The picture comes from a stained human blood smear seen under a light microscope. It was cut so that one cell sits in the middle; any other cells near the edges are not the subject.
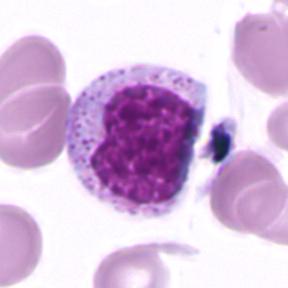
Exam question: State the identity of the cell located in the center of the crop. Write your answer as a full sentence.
The cell featured at the centre of this crop is a metamyelocyte.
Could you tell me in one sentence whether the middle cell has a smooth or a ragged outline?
Expected answer: a smooth cell outline without projections of any sort.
